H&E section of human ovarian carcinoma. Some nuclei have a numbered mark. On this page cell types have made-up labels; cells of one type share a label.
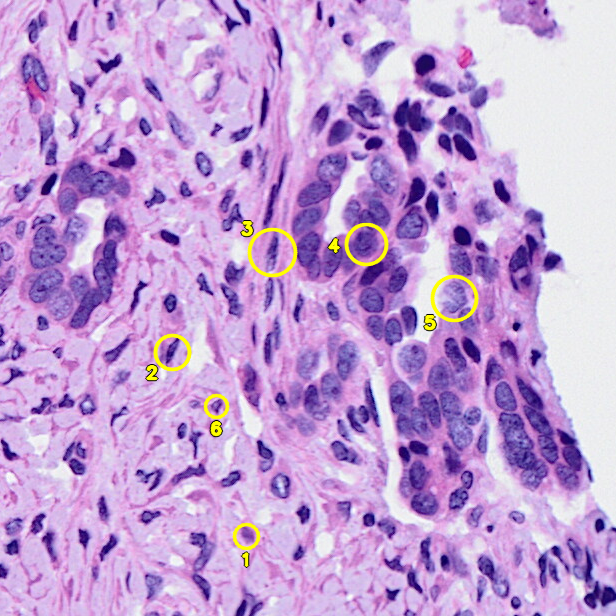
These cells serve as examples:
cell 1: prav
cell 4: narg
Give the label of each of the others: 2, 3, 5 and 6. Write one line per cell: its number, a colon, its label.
2: prav
3: prav
5: narg
6: prav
